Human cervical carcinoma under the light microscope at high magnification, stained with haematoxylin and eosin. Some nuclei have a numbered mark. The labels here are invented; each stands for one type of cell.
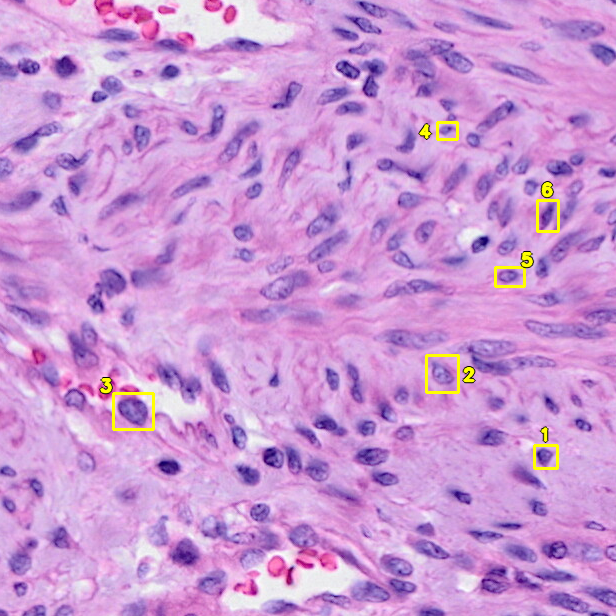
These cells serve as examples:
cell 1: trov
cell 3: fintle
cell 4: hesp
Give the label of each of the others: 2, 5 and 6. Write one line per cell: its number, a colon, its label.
2: hesp
5: hesp
6: hesp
